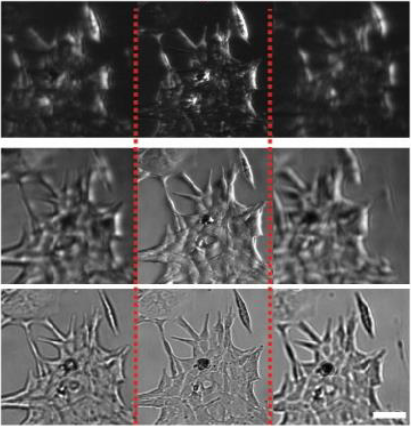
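The cells are spindle-shaped or star-shaped, with long, thin processes that branch and reach toward one another, so that together they form a loose, interlacing network. Near the middle of the field lies a small dark, dense body among the cells, and in the upper right a single narrow, spindle-shaped cell stands apart from the rest. In the top row the background is dark and only the cell edges shine bright, in the middle row the cells stand out grey with a relief-like shading, and in the bottom row the outlines are crisp against a pale grey ground. Across each row the middle image is the sharpest, while the images to either side are softer and the thin processes blur.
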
